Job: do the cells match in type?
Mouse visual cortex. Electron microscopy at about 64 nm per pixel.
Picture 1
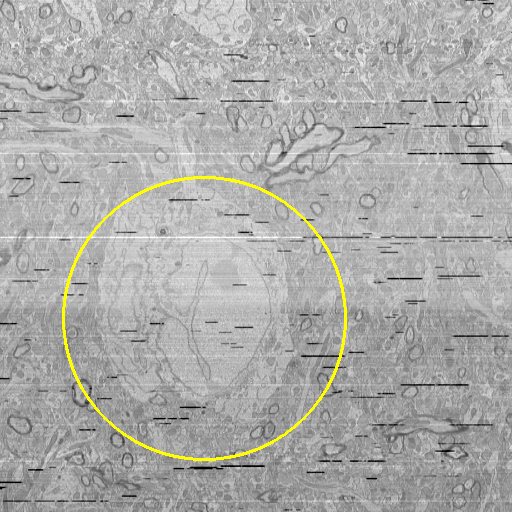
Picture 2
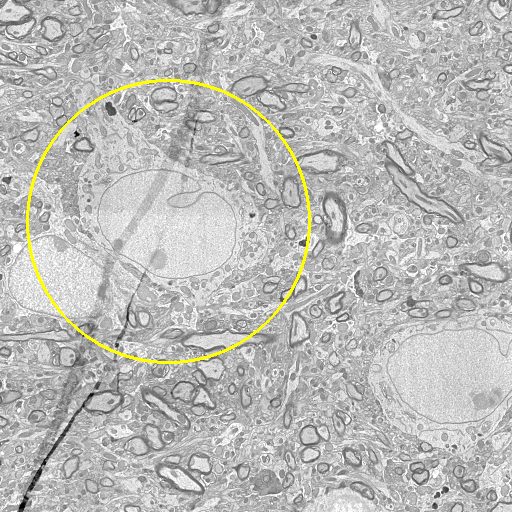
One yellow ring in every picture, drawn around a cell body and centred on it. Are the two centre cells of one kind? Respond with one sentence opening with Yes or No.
Yes, the ringed cells in the two pictures are of one and the same kind.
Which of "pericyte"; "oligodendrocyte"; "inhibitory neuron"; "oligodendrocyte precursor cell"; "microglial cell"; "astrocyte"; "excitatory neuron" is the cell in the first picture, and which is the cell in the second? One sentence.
Each of the ringed cells, first and second, is an excitatory neuron.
